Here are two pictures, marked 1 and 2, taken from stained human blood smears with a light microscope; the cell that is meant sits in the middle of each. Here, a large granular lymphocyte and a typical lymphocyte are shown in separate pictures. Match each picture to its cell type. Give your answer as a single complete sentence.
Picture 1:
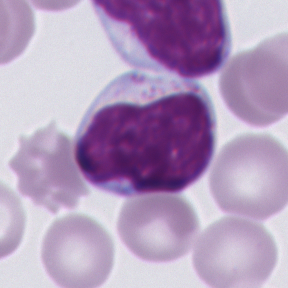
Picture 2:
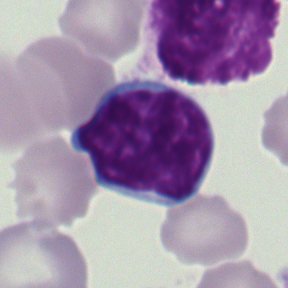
Picture 1 is of a large granular lymphocyte, and picture 2 is of a typical lymphocyte.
